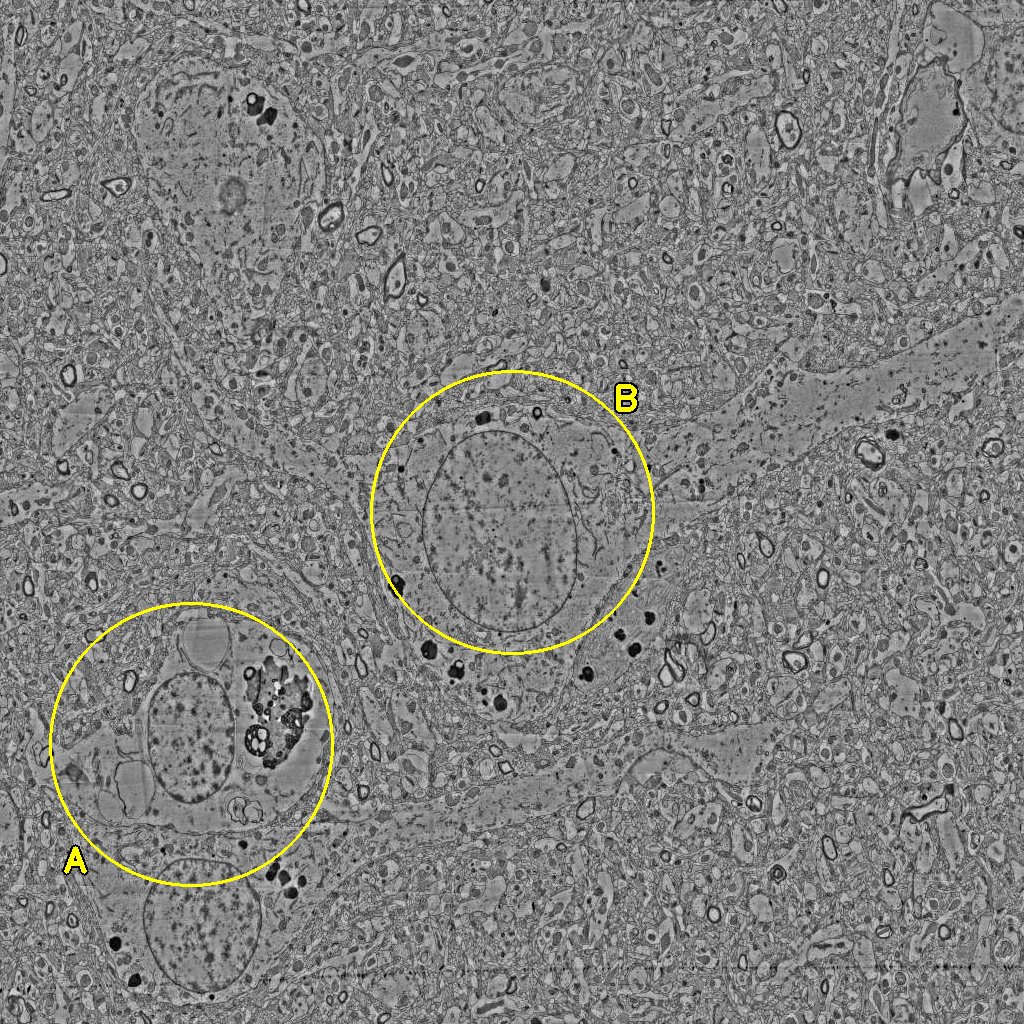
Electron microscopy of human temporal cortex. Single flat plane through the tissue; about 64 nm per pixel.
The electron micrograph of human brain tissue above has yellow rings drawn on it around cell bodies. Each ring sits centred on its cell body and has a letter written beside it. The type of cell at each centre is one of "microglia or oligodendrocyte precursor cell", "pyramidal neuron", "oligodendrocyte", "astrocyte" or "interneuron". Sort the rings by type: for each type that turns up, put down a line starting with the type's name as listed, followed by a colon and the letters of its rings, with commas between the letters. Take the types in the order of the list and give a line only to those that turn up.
pyramidal neuron: B
astrocyte: A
